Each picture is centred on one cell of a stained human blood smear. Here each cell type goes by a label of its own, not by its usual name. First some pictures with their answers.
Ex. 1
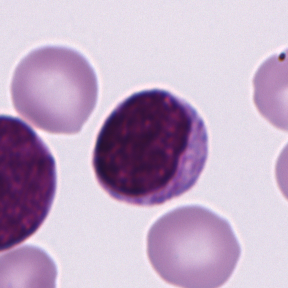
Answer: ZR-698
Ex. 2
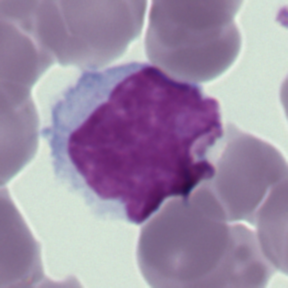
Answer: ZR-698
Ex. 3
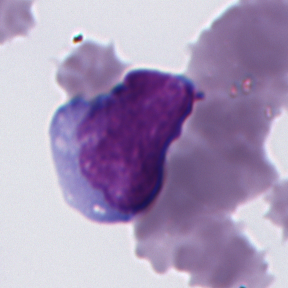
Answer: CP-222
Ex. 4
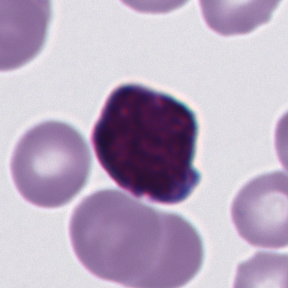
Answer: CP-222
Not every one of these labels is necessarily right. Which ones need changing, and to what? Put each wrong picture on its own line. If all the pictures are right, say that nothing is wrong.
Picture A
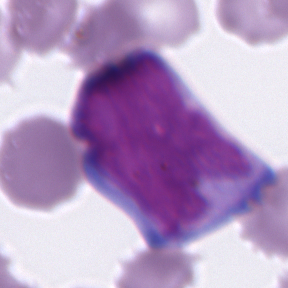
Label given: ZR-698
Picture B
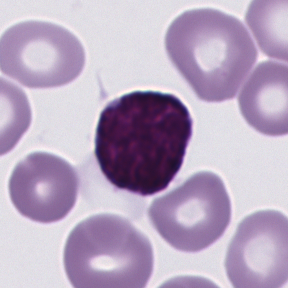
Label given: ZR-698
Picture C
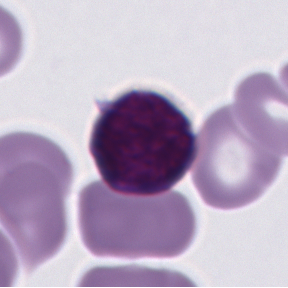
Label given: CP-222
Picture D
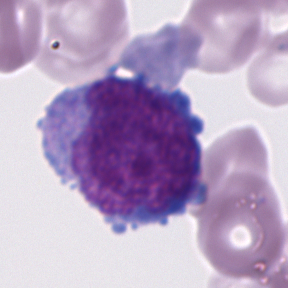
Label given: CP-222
A: not ZR-698 but CP-222
B: not ZR-698 but CP-222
